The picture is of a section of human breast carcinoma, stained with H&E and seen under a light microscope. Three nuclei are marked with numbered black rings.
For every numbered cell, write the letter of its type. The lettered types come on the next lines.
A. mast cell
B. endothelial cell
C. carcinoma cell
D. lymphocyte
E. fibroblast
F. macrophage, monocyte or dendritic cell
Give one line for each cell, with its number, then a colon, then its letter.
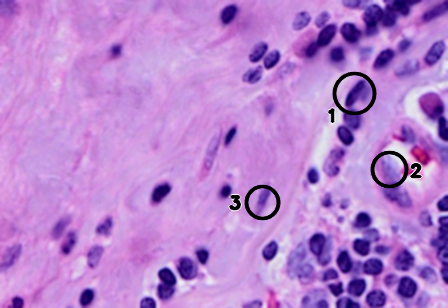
1: D
2: B
3: E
